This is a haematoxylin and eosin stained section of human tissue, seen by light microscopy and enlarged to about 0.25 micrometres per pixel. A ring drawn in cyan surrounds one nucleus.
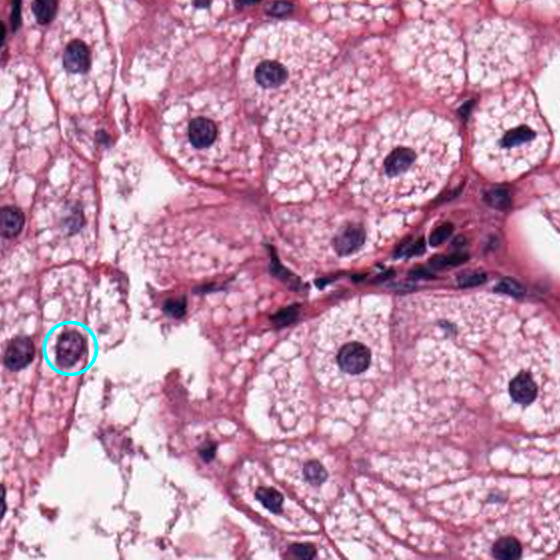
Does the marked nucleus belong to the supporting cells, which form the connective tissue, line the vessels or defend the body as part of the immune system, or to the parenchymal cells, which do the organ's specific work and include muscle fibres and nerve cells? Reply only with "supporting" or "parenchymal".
parenchymal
